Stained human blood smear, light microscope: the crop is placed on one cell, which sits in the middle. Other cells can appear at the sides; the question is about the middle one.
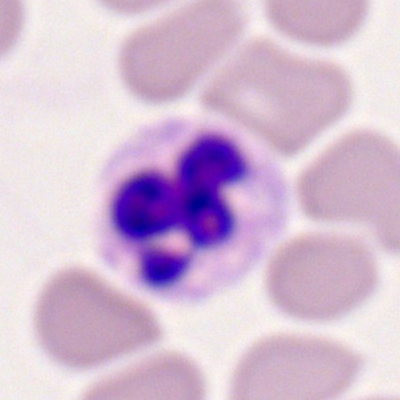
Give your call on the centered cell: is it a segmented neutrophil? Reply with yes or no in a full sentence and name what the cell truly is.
Yes, the cell in the centre is a segmented neutrophil.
